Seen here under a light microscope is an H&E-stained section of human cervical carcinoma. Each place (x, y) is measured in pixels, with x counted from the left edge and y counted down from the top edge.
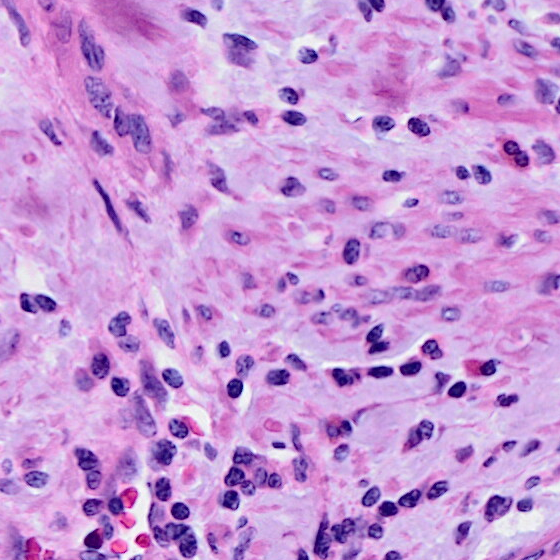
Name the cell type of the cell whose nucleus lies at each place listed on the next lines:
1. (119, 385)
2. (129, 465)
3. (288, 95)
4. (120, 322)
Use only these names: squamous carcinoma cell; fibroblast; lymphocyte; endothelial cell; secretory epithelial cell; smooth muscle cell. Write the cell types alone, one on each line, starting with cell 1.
lymphocyte
endothelial cell
lymphocyte
lymphocyte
